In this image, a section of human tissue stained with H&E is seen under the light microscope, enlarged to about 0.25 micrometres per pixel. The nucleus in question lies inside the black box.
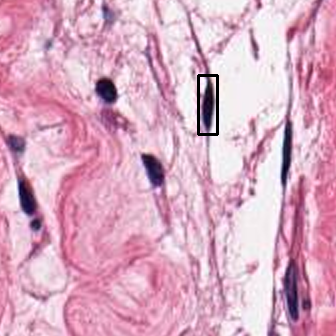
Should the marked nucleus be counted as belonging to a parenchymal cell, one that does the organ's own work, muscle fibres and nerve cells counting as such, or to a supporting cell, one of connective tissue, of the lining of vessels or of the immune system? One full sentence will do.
The marked nucleus lies in a supporting cell.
